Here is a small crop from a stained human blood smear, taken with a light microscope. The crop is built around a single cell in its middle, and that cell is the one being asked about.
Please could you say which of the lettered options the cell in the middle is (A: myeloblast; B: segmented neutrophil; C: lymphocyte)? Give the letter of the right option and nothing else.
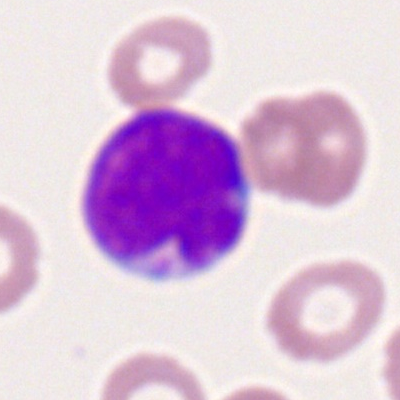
A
